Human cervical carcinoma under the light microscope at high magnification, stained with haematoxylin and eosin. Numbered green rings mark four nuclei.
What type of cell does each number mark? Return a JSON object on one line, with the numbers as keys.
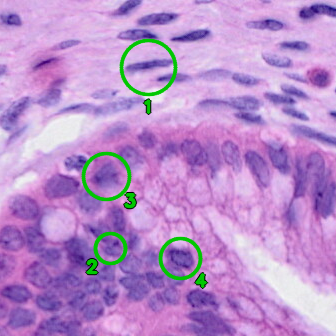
{"1": "fibroblast", "2": "secretory epithelial cell", "3": "secretory epithelial cell", "4": "secretory epithelial cell"}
